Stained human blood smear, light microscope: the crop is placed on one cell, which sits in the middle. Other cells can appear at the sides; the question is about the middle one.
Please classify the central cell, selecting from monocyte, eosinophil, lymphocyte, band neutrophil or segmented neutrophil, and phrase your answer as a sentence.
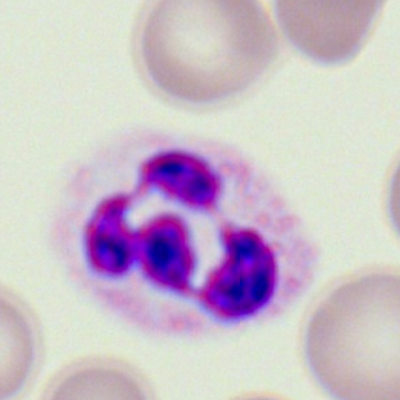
As for the central cell, it is a segmented neutrophil.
